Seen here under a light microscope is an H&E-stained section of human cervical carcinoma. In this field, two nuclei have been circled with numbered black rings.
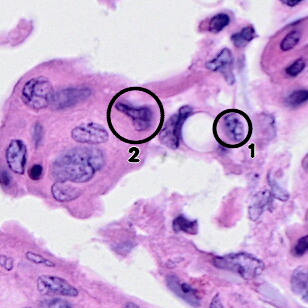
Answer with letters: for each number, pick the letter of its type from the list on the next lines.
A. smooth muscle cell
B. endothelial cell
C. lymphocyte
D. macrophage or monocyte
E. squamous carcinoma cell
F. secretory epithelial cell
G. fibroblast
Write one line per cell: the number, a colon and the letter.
1: D
2: E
